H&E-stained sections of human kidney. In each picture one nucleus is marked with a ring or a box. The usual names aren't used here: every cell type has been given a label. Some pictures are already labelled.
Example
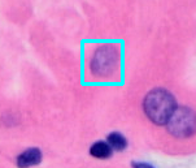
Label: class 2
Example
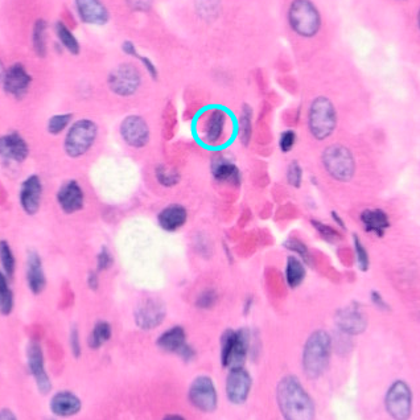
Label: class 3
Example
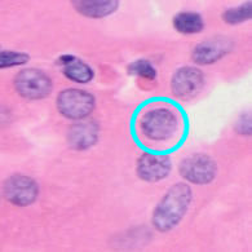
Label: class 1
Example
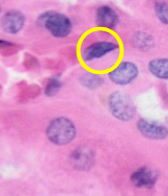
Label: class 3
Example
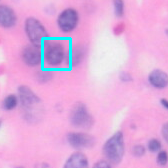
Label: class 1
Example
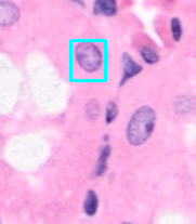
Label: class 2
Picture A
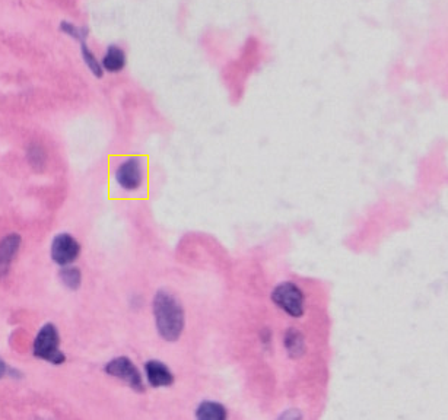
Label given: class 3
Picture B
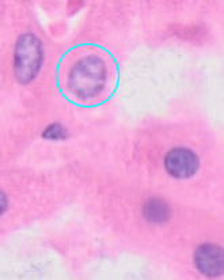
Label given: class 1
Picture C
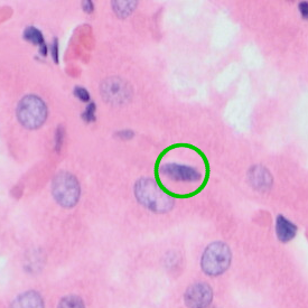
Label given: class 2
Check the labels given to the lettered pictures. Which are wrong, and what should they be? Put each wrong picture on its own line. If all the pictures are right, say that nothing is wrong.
B: not class 1 but class 2
C: not class 2 but class 3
